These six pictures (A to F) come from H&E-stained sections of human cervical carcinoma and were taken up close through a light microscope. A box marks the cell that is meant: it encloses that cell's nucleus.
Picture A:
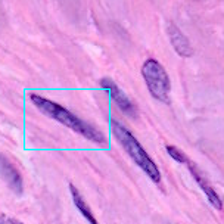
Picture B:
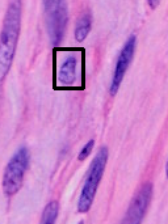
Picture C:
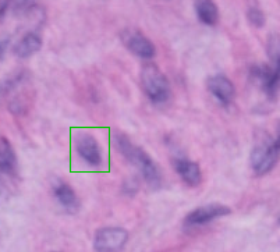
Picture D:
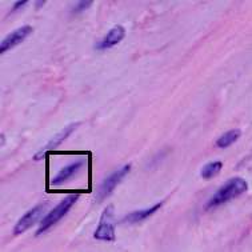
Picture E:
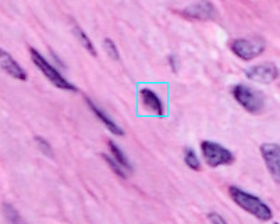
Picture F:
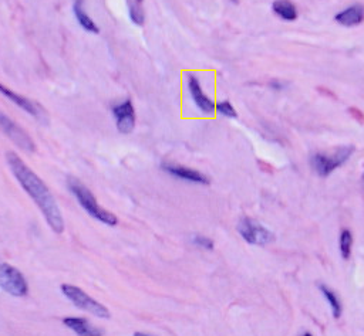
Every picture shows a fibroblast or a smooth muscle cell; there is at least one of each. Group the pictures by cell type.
A: fibroblast
B: smooth muscle cell
C: smooth muscle cell
D: fibroblast
E: fibroblast
F: fibroblast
